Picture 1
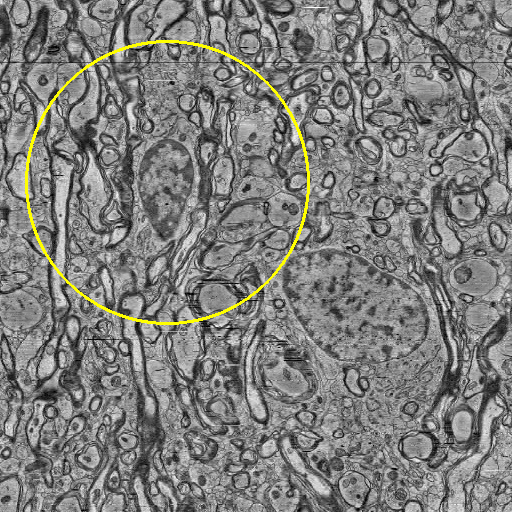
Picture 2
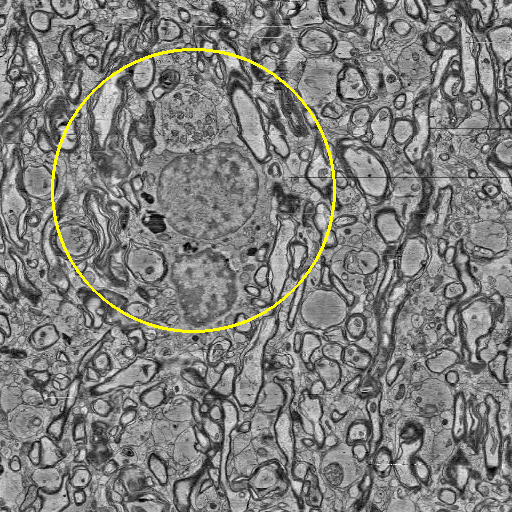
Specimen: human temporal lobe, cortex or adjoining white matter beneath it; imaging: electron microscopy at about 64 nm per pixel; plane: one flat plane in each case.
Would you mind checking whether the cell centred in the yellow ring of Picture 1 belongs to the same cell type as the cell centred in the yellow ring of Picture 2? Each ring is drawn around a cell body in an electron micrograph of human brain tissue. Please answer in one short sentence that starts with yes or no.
No, the two cells are of two types.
